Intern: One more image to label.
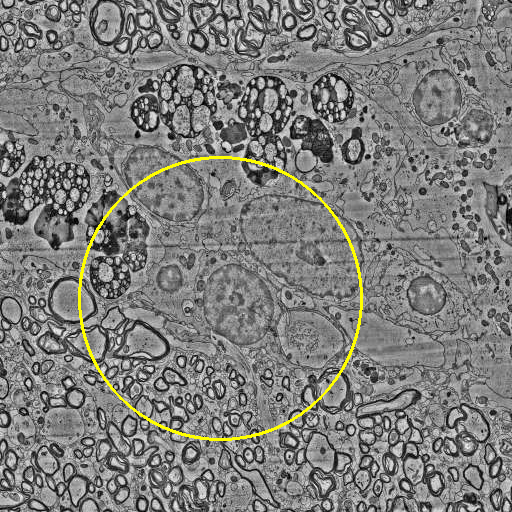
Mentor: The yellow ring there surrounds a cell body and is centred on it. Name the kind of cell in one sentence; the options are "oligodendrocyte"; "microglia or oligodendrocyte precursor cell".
The ring marks the cell body of an oligodendrocyte.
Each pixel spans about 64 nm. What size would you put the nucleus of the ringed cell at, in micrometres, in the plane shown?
In this plane, approximately 5 by 4 micrometers.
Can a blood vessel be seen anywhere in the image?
Yes, the picture includes a blood vessel.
